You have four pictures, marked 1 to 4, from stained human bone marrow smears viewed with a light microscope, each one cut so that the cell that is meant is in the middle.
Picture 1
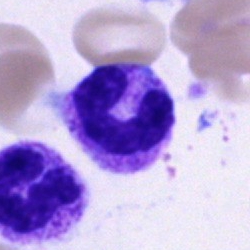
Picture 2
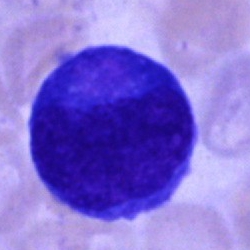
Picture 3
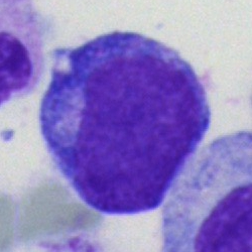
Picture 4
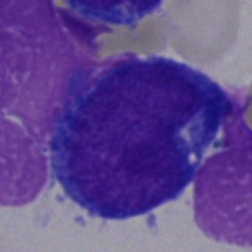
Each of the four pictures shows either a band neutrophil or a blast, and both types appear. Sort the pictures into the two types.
1: band neutrophil
2: blast
3: blast
4: blast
